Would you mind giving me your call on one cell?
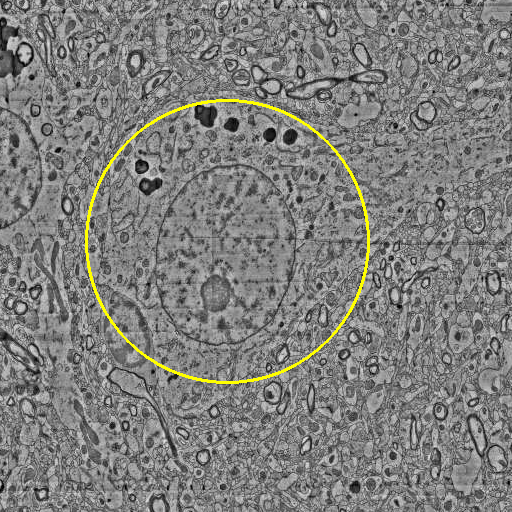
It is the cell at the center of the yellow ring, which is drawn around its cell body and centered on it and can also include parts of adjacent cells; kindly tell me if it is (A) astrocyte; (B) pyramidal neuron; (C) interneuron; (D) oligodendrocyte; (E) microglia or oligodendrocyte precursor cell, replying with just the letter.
B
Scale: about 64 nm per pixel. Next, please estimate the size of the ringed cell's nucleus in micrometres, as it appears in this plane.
Approximately 12 x 9 micrometres in this plane.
